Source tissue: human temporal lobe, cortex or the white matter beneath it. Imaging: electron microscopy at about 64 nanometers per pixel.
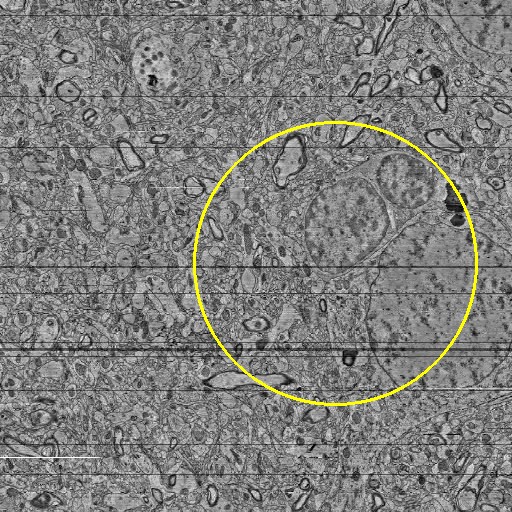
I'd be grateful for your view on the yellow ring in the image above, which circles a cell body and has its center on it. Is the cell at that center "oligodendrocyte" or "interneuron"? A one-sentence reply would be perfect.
The cell at the center of the yellow ring is an oligodendrocyte.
